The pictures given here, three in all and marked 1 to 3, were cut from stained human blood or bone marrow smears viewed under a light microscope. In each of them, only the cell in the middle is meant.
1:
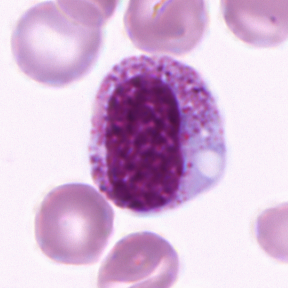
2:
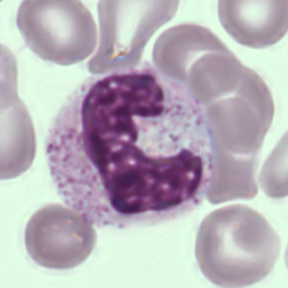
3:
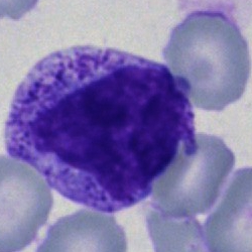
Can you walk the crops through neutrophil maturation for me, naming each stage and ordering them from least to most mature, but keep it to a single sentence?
Ordered from least to most mature, the cells run crop 3 (a myelocyte), crop 1 (a metamyelocyte) and crop 2 (a band neutrophil).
